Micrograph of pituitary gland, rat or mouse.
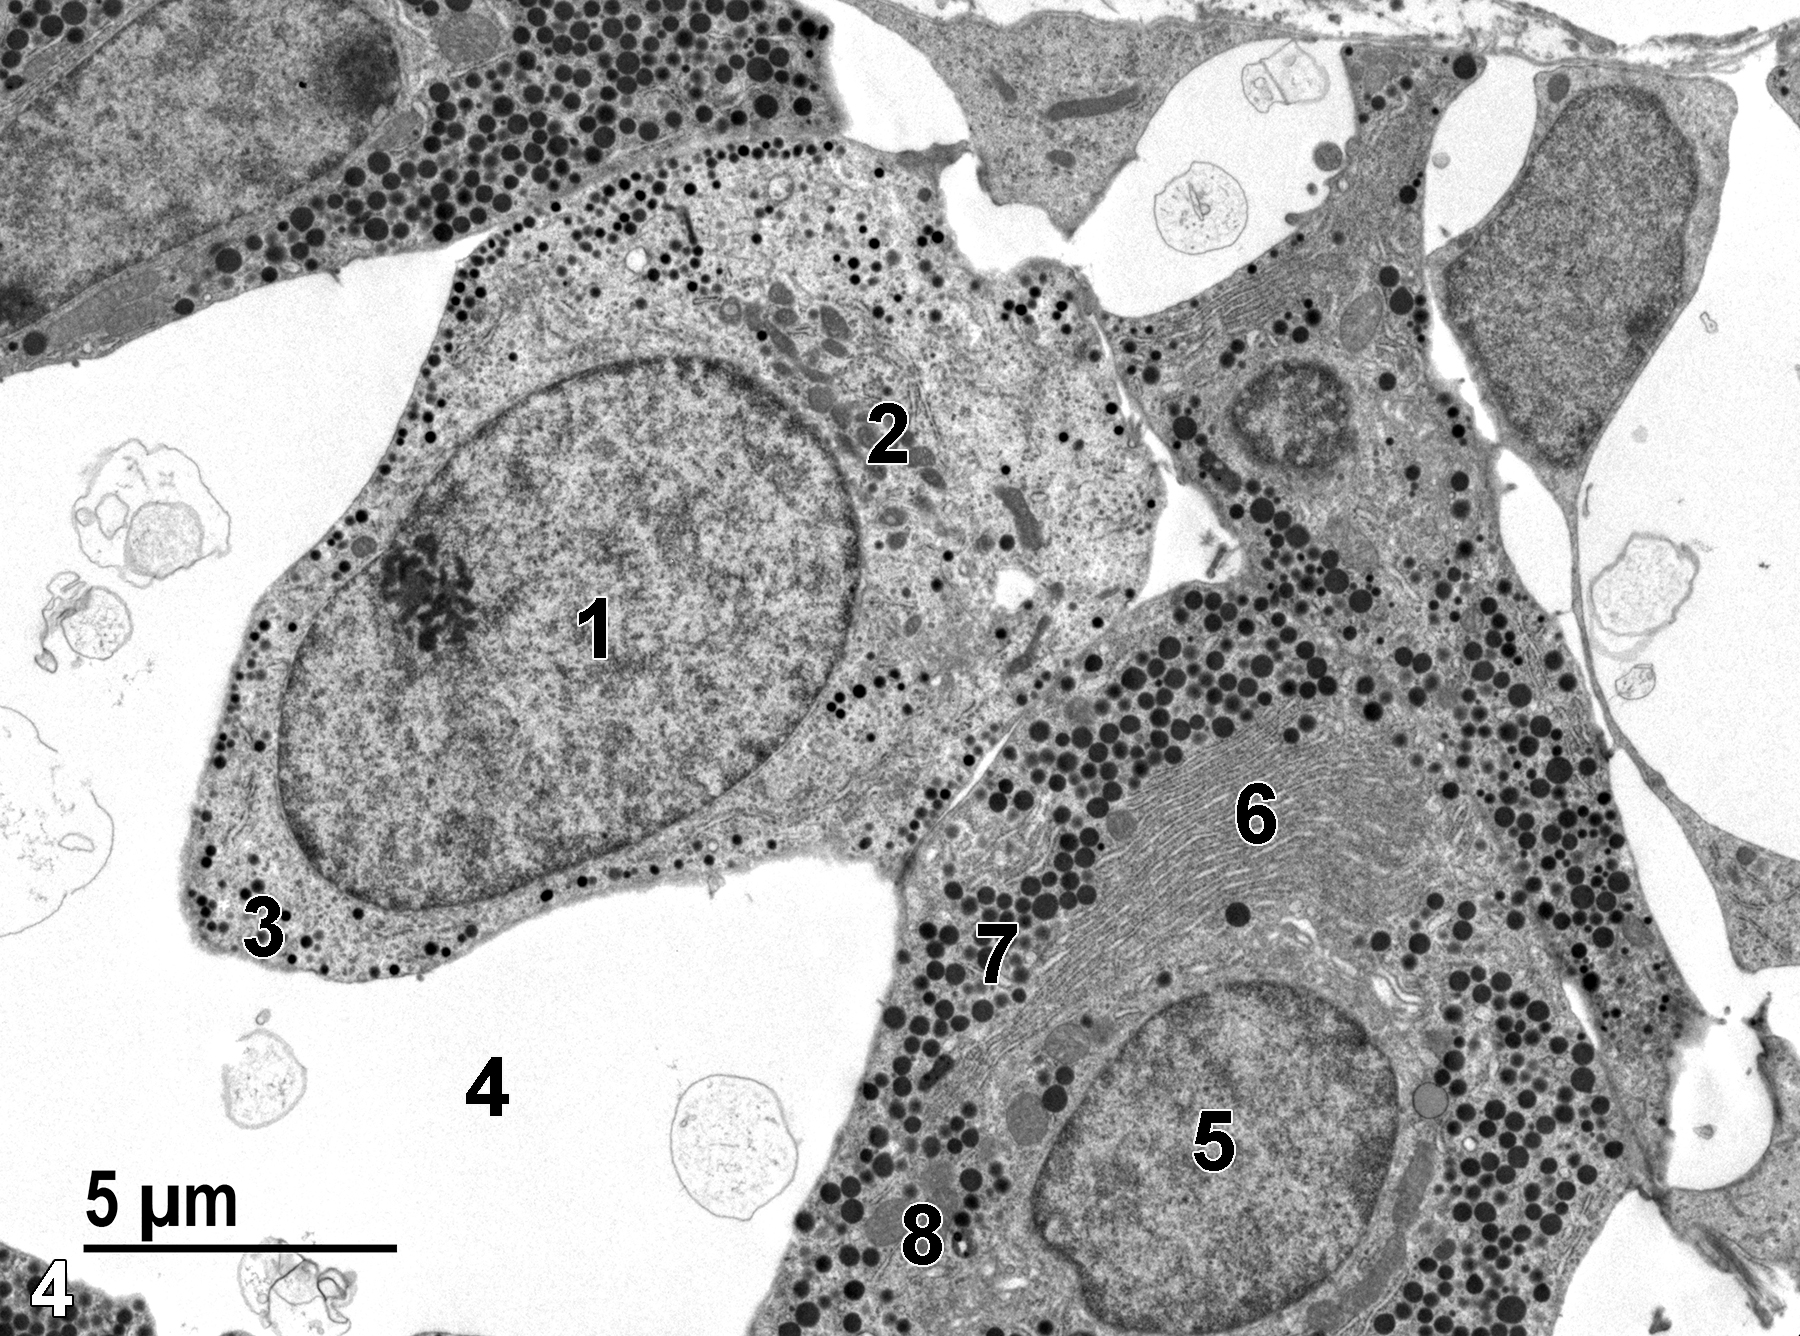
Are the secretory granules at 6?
No, 6 marks the rough endoplasmic reticulum.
